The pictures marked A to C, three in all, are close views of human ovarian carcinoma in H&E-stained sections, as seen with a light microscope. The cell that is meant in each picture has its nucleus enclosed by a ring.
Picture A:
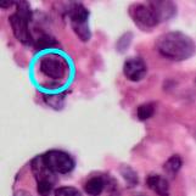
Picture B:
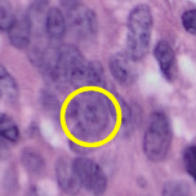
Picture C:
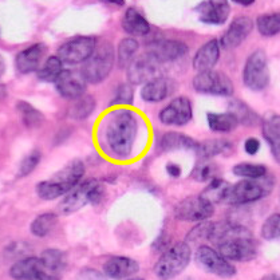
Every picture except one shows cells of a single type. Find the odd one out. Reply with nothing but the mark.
C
